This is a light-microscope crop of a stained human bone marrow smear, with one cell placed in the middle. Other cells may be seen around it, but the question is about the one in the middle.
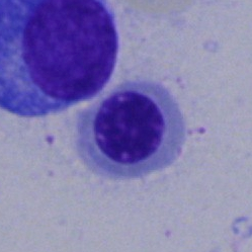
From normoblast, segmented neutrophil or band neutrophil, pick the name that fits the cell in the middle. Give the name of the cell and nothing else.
normoblast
